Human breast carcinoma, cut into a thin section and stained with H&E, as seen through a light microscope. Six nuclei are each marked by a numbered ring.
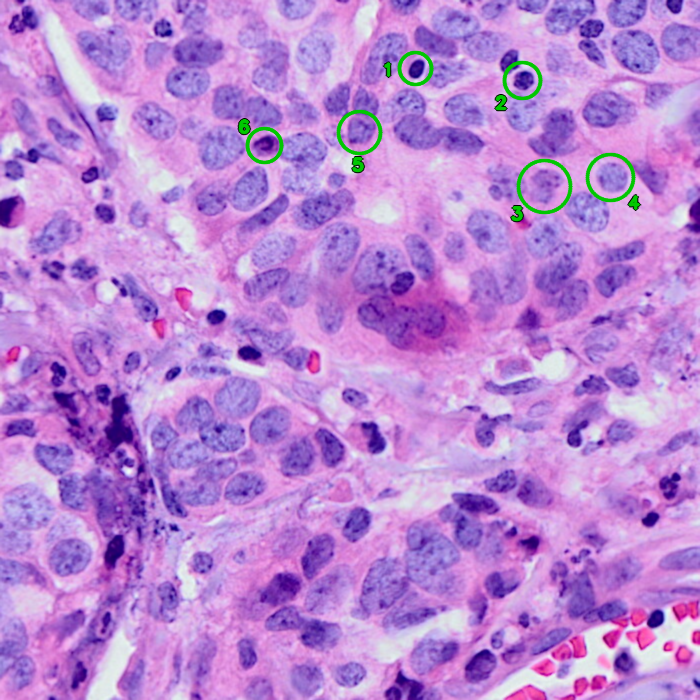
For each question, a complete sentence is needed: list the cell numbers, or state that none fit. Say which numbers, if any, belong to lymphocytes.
Identification: the cells with numbers 1 and 2 are lymphocytes.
